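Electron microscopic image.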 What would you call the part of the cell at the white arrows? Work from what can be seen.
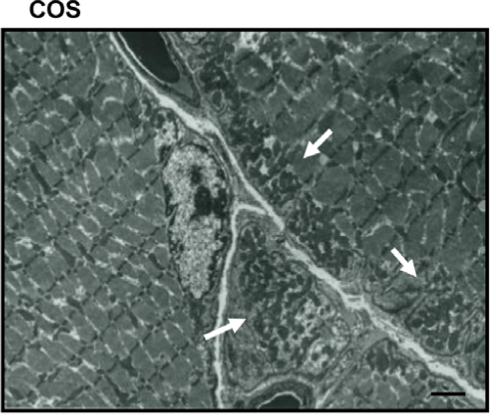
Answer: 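Clusters of mitochondria. The arrows point to groups of dark rounded bodies. The groups lie between the myofibrils and near the fibre border.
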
